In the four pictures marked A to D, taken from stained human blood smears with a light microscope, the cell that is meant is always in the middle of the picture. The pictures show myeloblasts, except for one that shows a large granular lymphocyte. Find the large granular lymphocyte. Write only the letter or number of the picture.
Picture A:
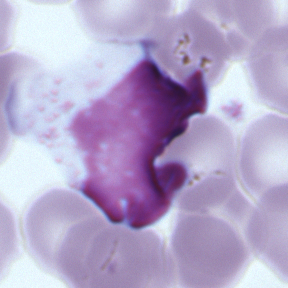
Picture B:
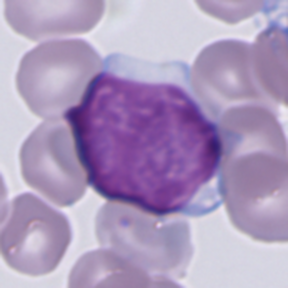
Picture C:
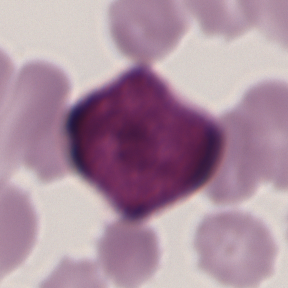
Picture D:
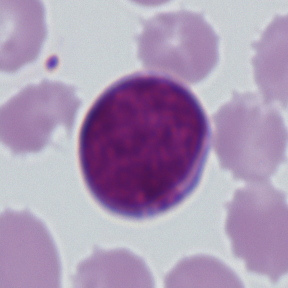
A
